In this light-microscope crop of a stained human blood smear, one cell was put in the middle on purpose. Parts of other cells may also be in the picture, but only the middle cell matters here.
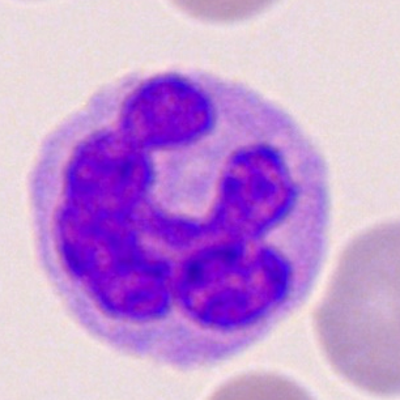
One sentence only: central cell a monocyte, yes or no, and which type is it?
Yes, a monocyte is the cell positioned in the middle of the field.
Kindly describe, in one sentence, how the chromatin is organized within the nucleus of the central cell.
Its chromatin is clumped in a coarse pattern.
